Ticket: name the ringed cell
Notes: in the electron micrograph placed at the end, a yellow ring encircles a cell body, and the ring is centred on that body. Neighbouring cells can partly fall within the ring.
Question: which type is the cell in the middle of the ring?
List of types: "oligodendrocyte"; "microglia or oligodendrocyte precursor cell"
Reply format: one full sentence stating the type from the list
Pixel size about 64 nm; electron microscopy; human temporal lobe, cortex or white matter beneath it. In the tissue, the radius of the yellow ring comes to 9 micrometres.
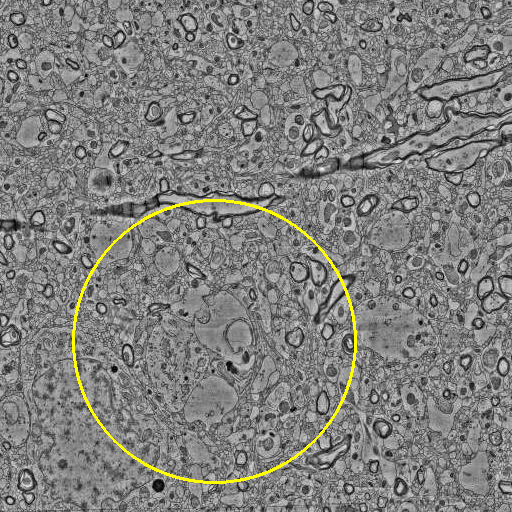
The cell sitting at the centre of the yellow ring is a microglial cell or oligodendrocyte precursor cell.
